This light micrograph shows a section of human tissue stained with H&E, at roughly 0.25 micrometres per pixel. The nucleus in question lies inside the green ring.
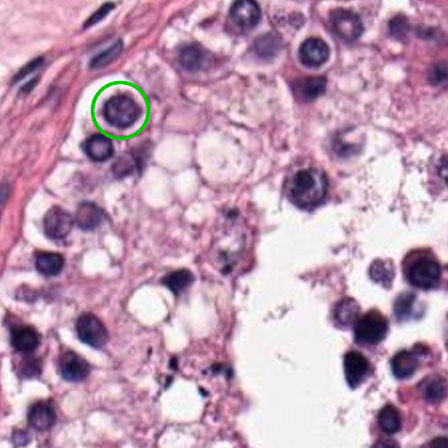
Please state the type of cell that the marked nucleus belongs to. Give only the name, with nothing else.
spermatogonium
